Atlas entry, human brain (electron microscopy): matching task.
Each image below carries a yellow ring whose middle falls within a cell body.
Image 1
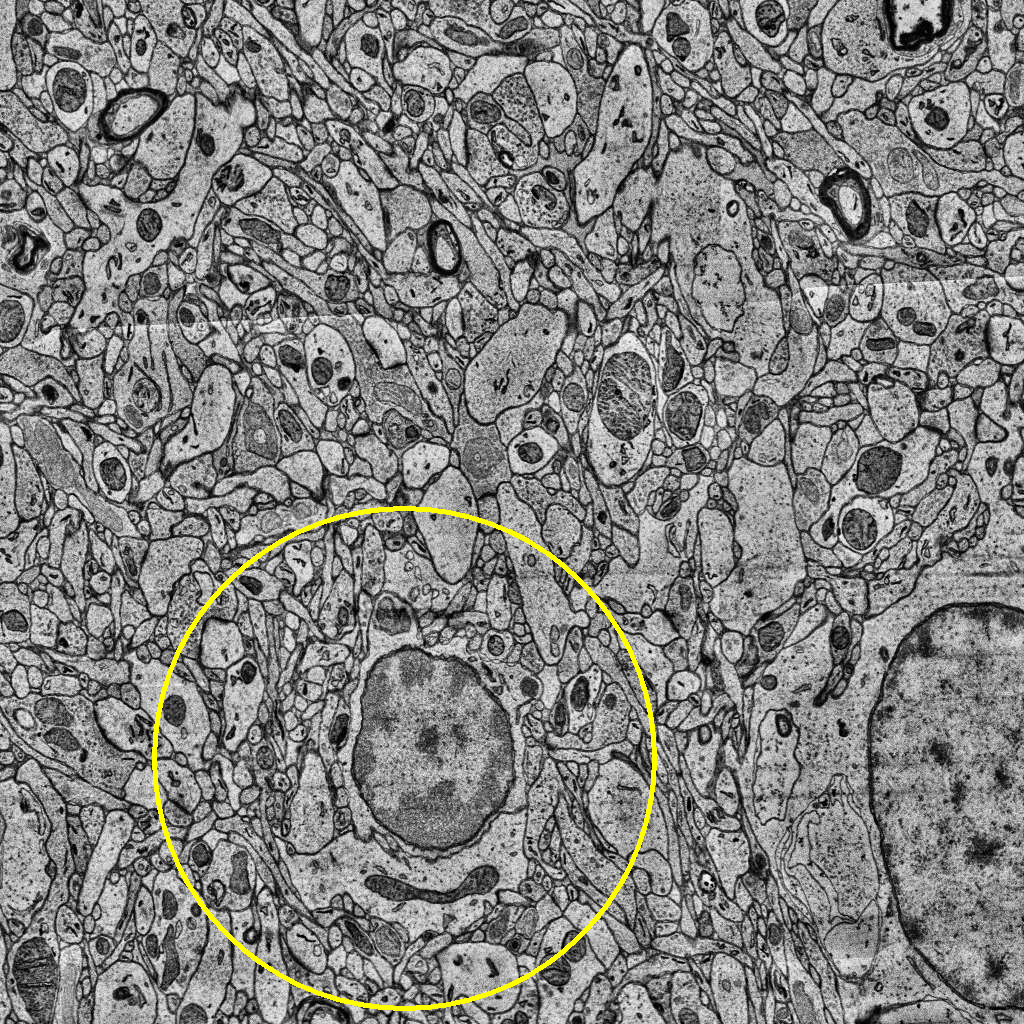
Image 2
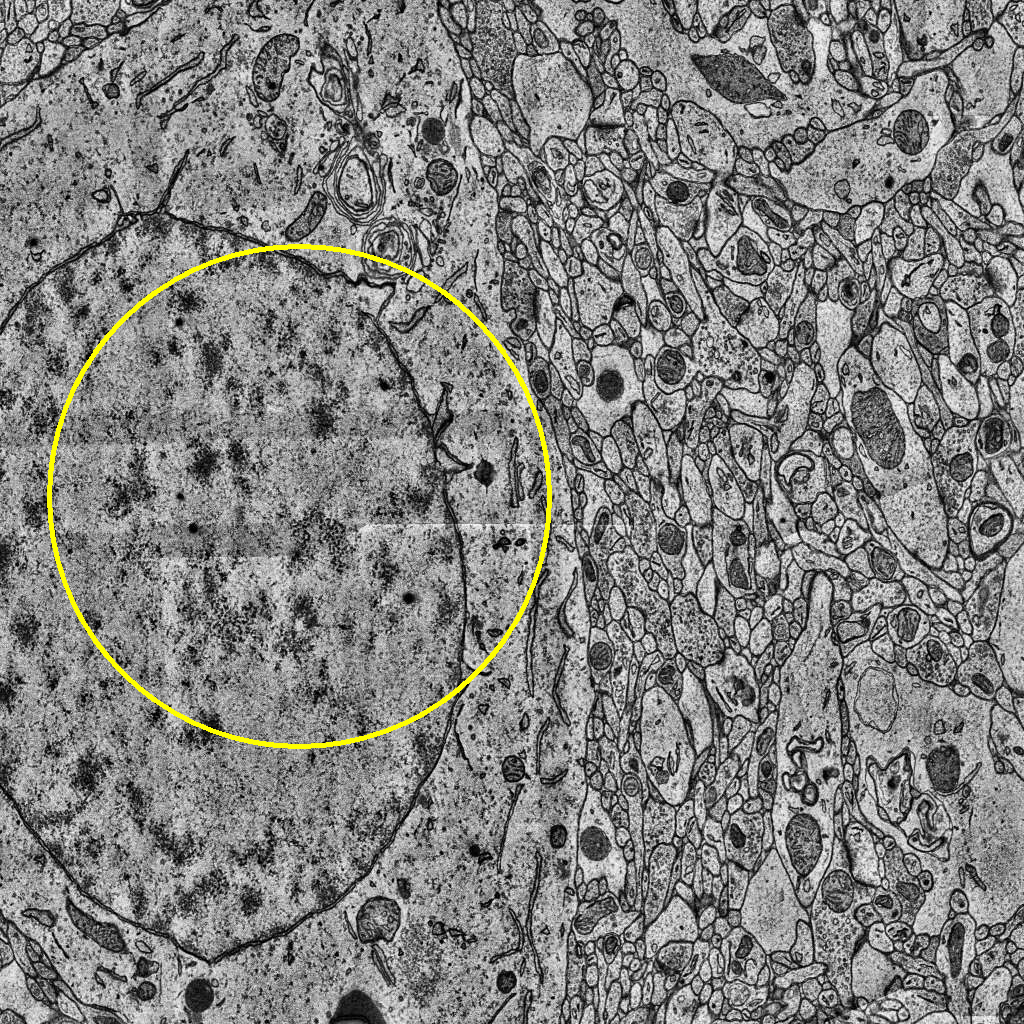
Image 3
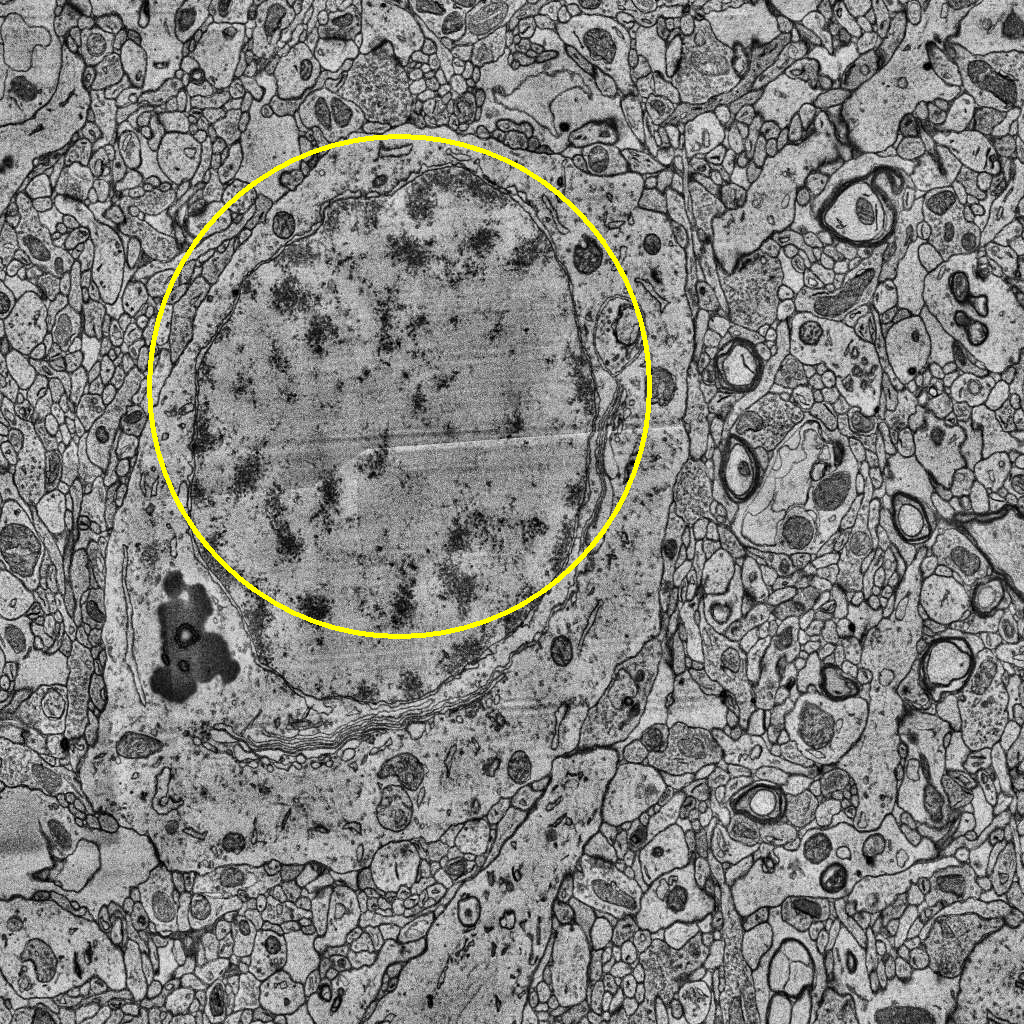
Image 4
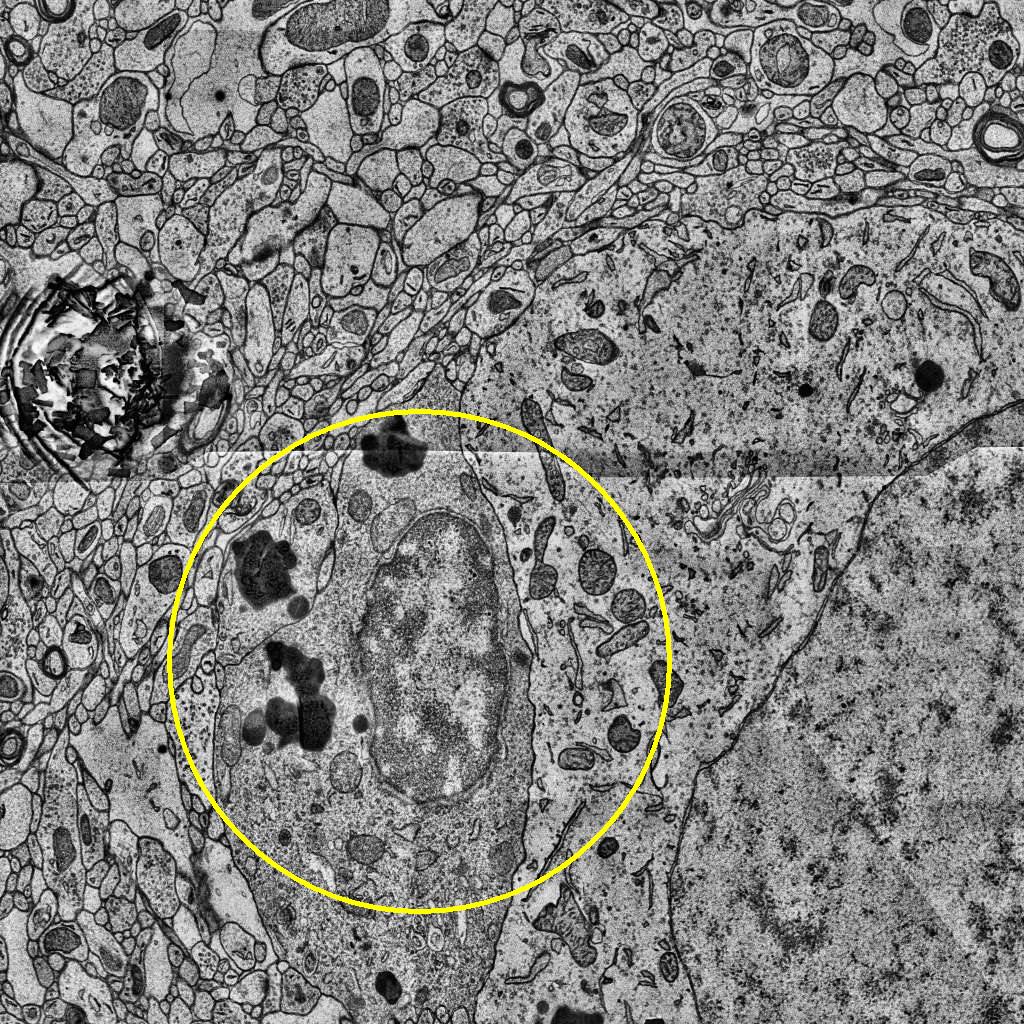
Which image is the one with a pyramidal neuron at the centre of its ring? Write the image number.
2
